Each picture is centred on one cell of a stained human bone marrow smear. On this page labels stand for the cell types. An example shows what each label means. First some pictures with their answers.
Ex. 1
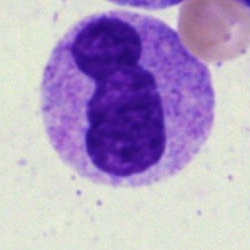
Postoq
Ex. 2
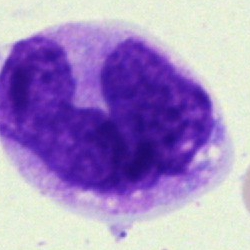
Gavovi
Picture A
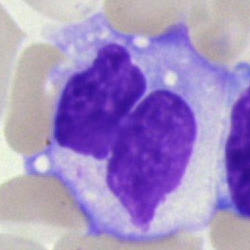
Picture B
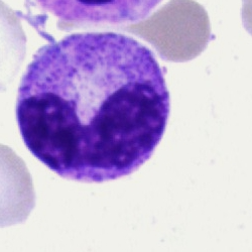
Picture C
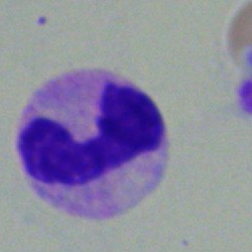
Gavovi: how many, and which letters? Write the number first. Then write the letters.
1: A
